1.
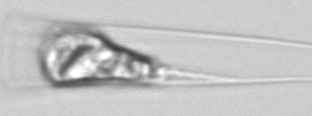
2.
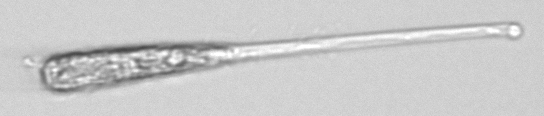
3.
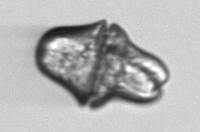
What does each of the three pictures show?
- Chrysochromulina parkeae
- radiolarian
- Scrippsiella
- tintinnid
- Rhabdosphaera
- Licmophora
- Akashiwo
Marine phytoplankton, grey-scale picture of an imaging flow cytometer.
(1) tintinnid
(2) Licmophora
(3) Akashiwo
